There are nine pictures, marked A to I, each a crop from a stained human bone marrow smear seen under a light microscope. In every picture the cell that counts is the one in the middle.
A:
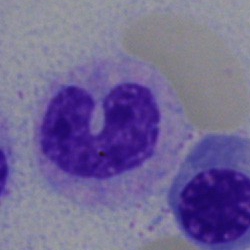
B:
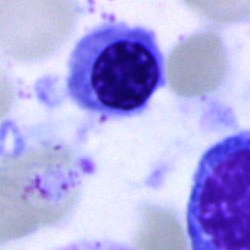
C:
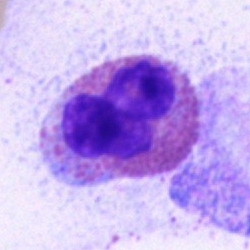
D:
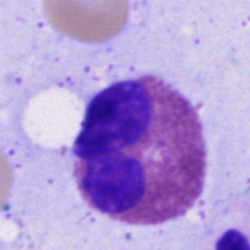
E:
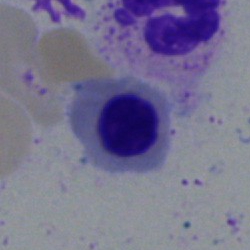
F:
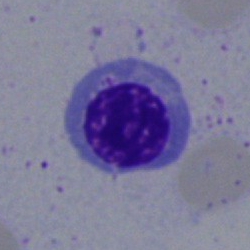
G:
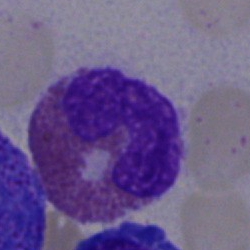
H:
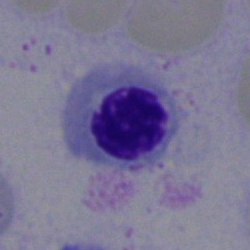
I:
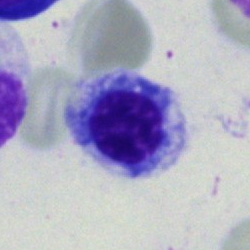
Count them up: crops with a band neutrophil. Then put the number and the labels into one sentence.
Of the several crops, crop A is the one with a band neutrophil.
